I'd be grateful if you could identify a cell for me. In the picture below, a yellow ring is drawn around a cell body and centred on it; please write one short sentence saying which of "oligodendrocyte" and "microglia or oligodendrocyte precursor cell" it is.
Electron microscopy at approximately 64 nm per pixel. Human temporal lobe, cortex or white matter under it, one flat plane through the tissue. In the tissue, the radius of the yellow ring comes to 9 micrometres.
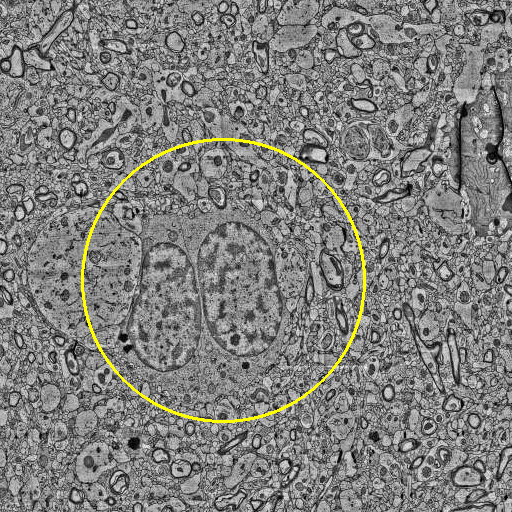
The cell under the ring's centre is an oligodendrocyte.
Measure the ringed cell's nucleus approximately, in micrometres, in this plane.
About 9 by 6 micrometers in this plane, so the nucleus is clearly longer than it is wide.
